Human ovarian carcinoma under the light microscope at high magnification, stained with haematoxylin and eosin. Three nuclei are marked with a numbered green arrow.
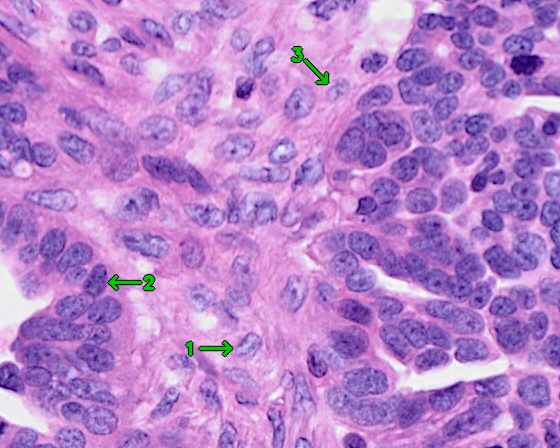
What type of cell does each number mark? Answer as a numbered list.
1. fibroblast
2. carcinoma cell
3. fibroblast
